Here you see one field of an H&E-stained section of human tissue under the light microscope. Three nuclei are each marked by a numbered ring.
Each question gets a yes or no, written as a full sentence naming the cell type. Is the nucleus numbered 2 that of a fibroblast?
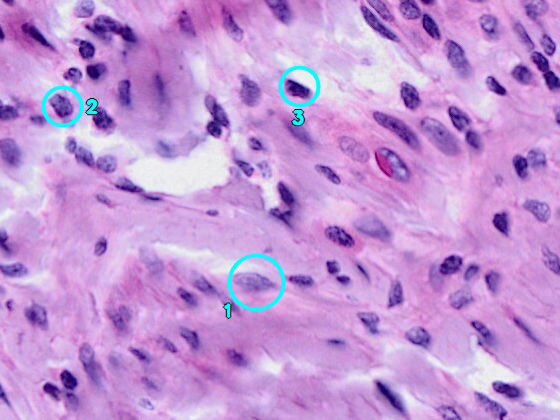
No, cell 2 is not a fibroblast; a lymphocyte is the correct identification.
